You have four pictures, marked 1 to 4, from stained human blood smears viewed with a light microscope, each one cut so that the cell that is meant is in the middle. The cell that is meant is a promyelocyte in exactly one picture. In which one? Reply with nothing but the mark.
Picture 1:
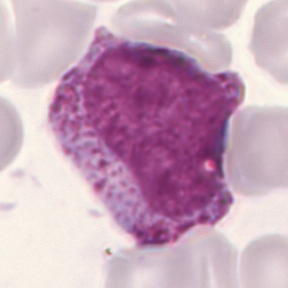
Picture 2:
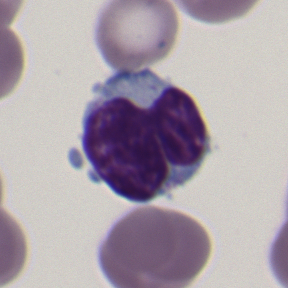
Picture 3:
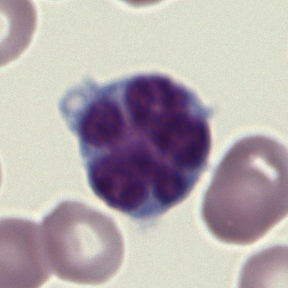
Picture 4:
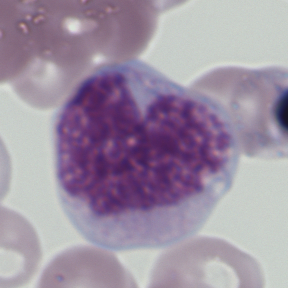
1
